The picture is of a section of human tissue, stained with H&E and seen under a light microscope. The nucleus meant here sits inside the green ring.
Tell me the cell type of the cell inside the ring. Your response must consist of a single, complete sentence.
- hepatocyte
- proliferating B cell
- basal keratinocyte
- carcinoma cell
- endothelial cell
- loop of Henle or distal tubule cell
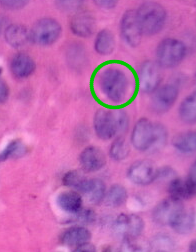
In this tissue sample, the cell inside the ring is a basal keratinocyte.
